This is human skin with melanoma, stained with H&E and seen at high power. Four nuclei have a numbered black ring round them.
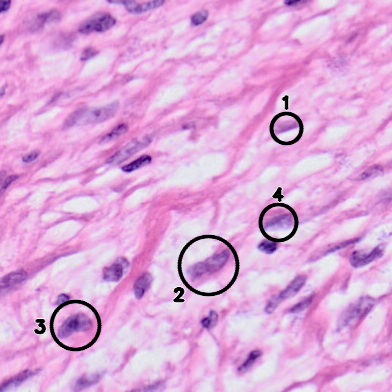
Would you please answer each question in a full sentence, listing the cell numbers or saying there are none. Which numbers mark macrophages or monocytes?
In contrast to the remaining marked cells, cell 3 is a macrophage or monocyte.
